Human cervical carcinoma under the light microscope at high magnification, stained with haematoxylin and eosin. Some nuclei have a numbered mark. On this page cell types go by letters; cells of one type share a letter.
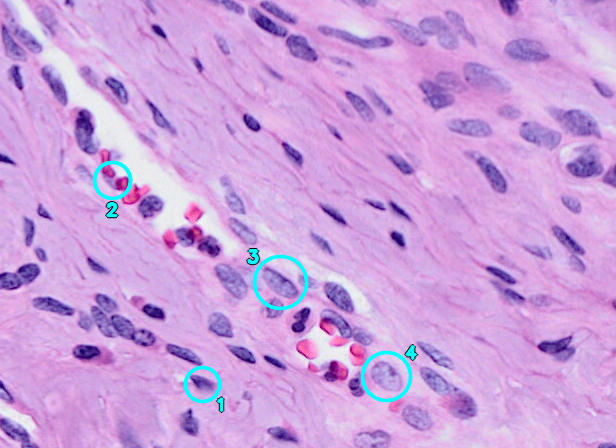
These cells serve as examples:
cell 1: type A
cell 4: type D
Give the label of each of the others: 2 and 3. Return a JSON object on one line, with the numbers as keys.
{"2": "type D", "3": "type D"}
